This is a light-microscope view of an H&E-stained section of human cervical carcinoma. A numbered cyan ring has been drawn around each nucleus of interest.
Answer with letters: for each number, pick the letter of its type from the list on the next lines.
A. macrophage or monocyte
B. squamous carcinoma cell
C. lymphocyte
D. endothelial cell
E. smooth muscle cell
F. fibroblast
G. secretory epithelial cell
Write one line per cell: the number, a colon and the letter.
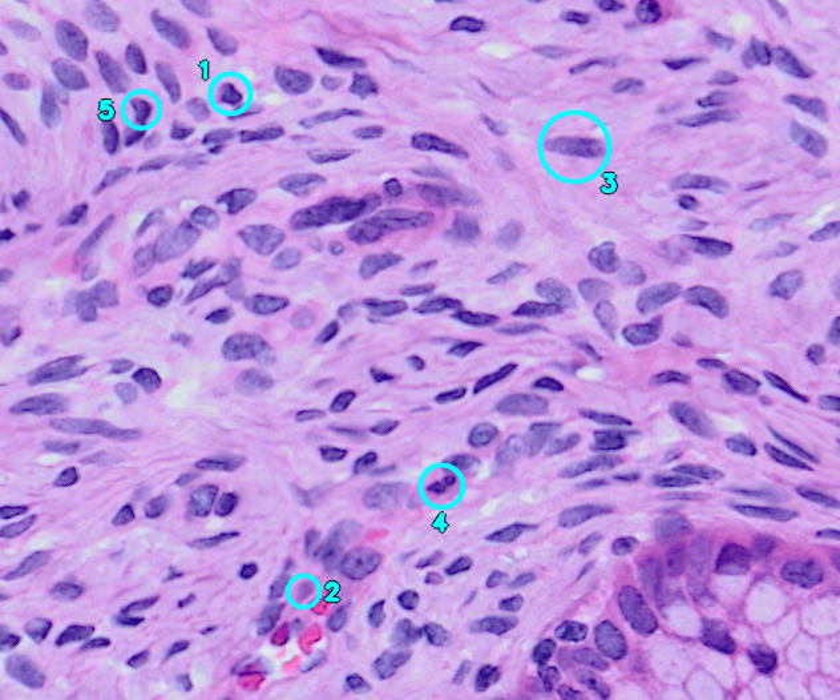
1: F
2: D
3: F
4: D
5: F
